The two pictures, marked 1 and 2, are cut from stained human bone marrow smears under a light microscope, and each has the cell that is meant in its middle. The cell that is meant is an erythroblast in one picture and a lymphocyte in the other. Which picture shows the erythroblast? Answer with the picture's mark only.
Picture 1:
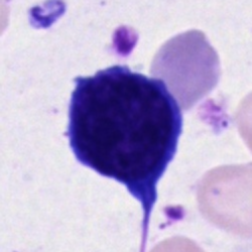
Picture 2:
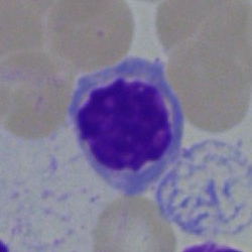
2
